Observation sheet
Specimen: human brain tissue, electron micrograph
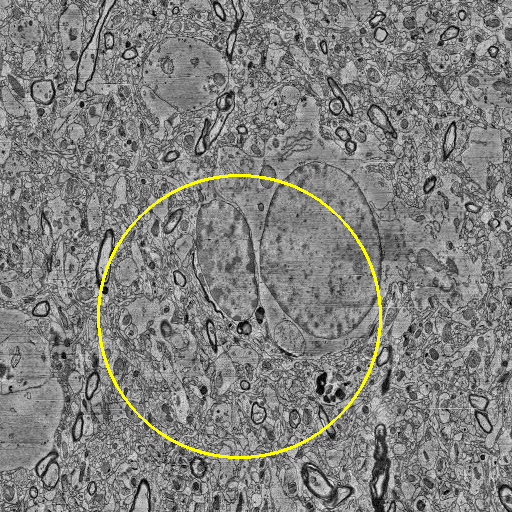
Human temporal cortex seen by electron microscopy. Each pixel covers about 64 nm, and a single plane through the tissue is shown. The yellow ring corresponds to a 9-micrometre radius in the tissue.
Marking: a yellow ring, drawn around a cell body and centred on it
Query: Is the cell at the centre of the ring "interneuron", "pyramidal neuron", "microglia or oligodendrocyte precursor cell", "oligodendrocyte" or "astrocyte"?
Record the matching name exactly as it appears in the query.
microglia or oligodendrocyte precursor cell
